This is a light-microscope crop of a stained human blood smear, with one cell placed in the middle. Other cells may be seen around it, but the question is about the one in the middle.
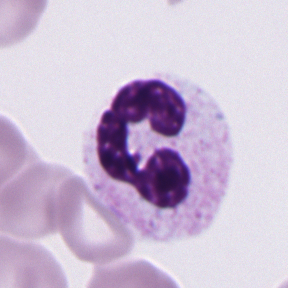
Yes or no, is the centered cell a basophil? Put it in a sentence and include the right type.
No, this is not a basophil at all; the cell in the middle is a segmented neutrophil.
